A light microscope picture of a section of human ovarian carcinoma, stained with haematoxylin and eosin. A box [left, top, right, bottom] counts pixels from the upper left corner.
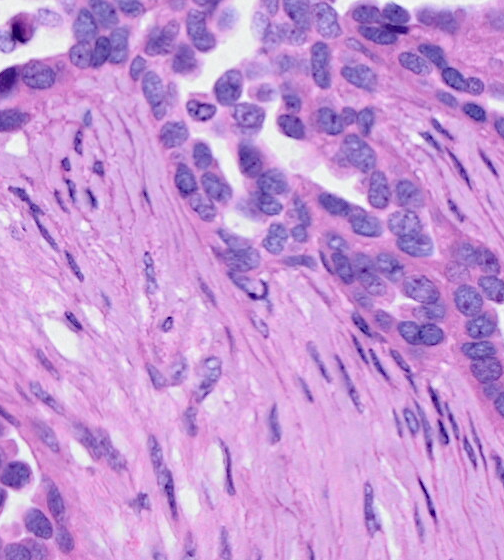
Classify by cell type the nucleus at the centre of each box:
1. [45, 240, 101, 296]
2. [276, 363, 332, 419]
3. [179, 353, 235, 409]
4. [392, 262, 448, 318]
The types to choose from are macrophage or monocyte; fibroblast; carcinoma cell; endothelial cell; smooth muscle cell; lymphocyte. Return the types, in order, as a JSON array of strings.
["fibroblast", "fibroblast", "fibroblast", "carcinoma cell"]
